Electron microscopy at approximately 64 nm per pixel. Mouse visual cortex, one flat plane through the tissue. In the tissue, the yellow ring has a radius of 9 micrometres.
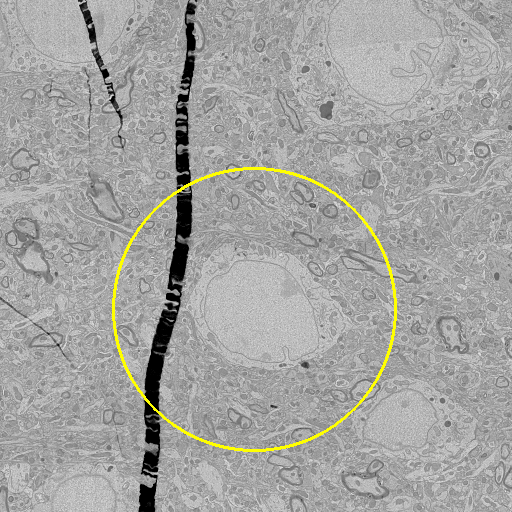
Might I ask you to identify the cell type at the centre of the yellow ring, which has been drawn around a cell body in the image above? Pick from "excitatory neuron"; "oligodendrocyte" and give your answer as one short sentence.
The centre of the ring falls on an excitatory neuron.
